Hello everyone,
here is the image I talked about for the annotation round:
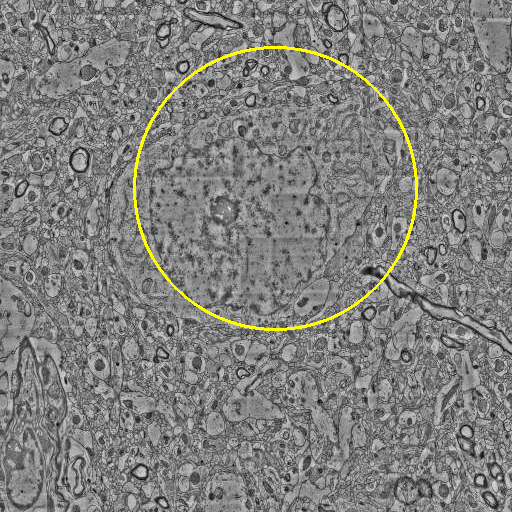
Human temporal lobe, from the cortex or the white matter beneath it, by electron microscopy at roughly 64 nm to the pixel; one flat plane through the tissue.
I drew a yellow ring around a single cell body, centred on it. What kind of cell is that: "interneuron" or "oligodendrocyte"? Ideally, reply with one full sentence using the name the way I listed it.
The cell your yellow ring is centred on is an interneuron, going by your list.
